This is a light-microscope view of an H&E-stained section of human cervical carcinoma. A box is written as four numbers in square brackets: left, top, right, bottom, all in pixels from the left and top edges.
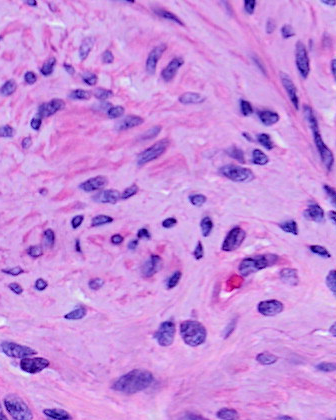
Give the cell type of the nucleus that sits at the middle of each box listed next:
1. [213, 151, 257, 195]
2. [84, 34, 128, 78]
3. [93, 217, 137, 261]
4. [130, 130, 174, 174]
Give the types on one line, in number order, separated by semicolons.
fibroblast; smooth muscle cell; smooth muscle cell; smooth muscle cell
